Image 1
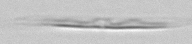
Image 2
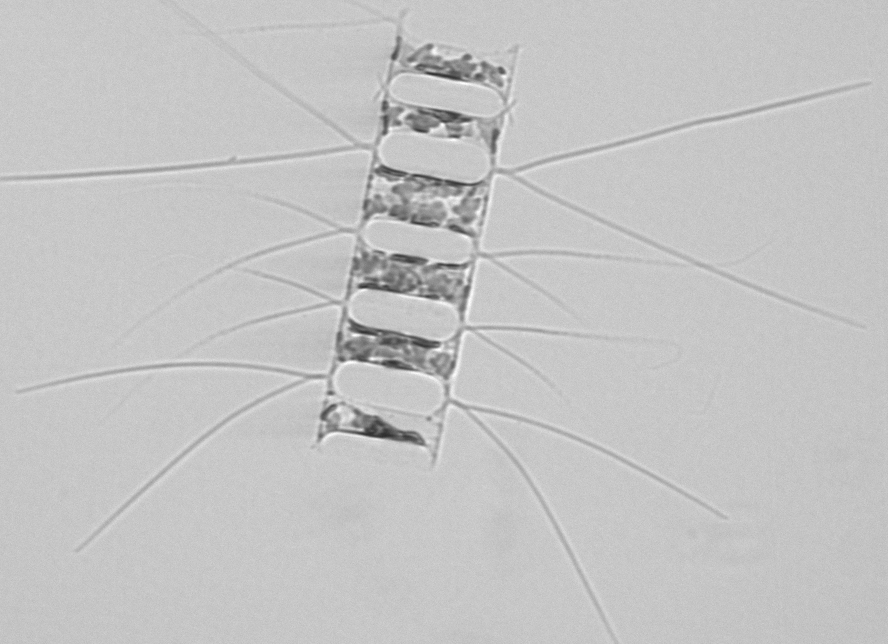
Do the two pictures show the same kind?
No: Pseudo-nitzschia, then Chaetoceros.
